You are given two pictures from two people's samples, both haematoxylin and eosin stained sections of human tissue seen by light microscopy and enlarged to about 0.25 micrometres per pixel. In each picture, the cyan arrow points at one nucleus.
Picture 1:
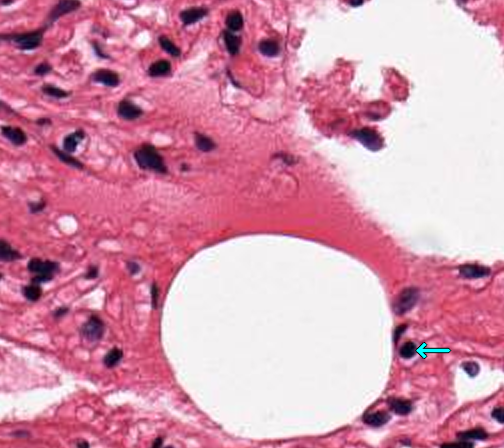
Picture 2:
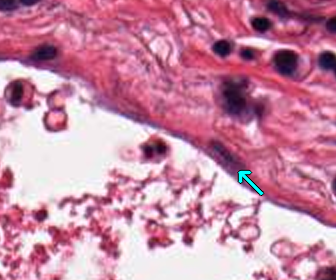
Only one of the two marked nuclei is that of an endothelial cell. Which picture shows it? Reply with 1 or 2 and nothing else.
2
